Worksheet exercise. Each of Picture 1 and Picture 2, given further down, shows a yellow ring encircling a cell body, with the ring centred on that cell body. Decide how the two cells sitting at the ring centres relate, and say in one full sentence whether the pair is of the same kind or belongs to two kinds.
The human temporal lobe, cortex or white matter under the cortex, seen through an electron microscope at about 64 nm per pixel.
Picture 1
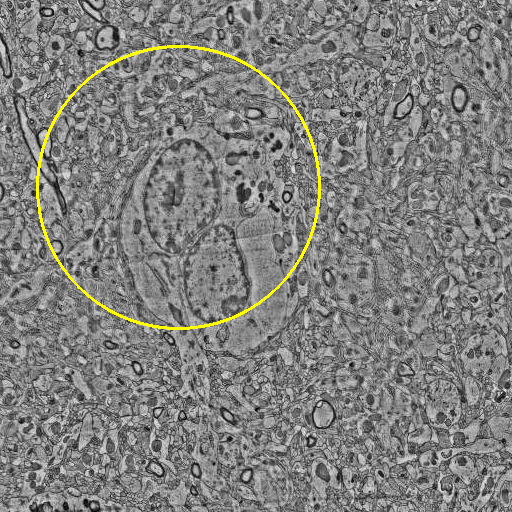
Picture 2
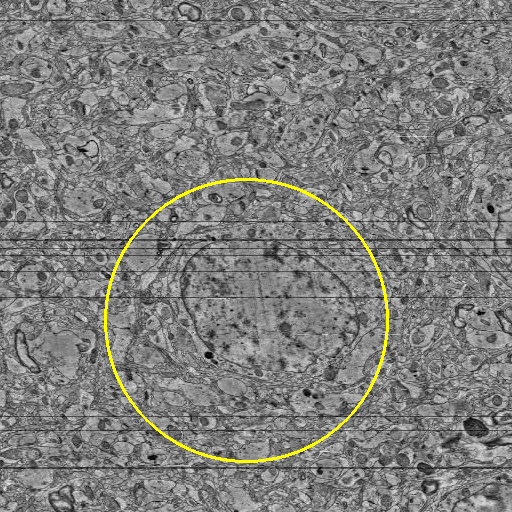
The cells at the ring centres in Picture 1 and Picture 2 belong to two kinds.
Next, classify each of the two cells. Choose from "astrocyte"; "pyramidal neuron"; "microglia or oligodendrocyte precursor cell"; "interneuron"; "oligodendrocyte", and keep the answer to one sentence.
In the first picture it is an astrocyte; in the second it is a pyramidal neuron.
